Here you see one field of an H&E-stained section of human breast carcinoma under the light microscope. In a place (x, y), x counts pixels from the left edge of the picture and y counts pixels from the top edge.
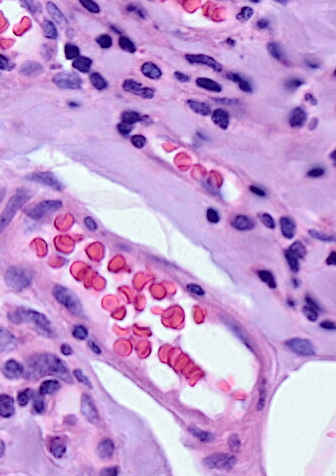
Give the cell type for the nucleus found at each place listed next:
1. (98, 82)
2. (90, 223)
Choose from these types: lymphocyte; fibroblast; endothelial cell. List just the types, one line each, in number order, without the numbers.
lymphocyte
endothelial cell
